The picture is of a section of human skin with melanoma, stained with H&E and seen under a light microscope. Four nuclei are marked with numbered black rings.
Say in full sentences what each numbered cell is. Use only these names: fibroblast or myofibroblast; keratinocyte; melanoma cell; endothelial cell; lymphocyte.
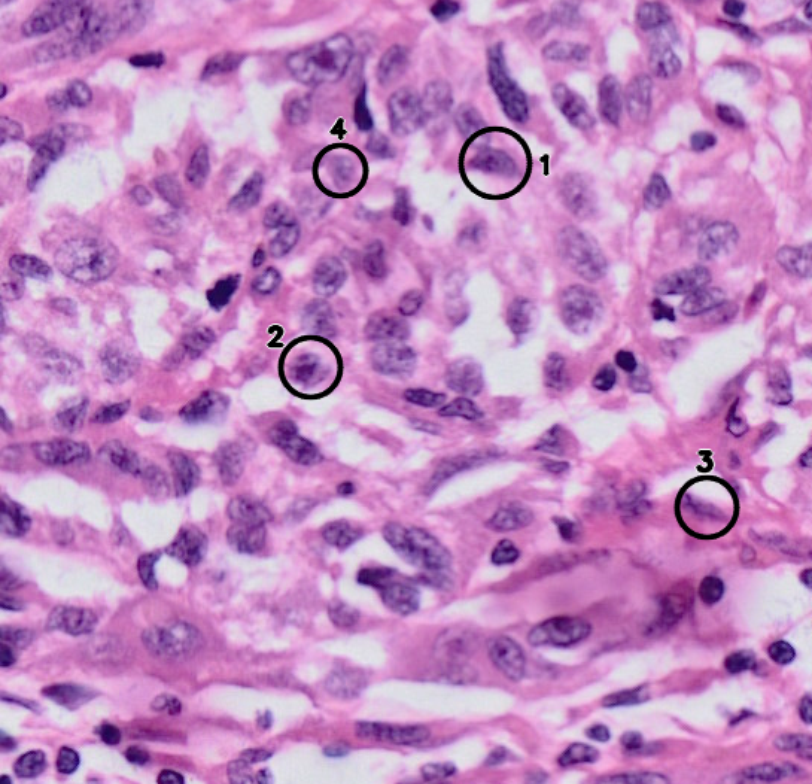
Cells 1, 2 and 4 are melanoma cells. Cell 3 is an endothelial cell.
